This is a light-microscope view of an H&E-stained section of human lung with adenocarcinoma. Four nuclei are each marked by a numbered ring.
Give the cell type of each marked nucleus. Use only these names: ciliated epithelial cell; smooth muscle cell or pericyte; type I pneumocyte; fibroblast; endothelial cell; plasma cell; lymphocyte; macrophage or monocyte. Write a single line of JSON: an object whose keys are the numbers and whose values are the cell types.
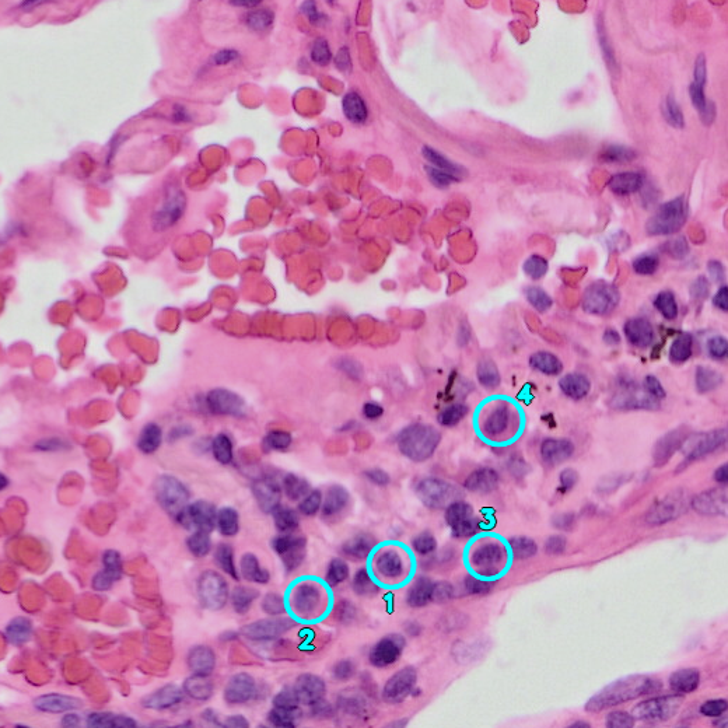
{"1": "lymphocyte", "2": "lymphocyte", "3": "lymphocyte", "4": "plasma cell"}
